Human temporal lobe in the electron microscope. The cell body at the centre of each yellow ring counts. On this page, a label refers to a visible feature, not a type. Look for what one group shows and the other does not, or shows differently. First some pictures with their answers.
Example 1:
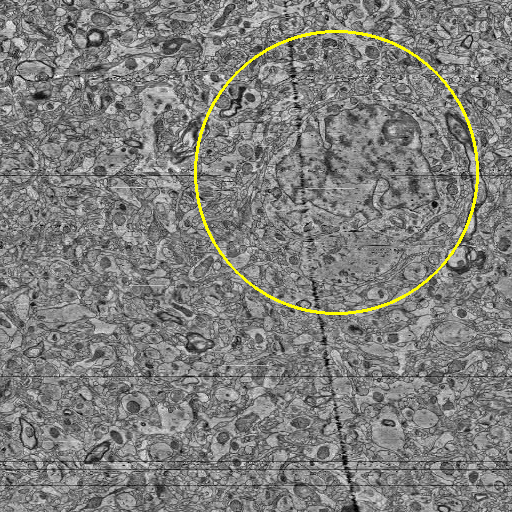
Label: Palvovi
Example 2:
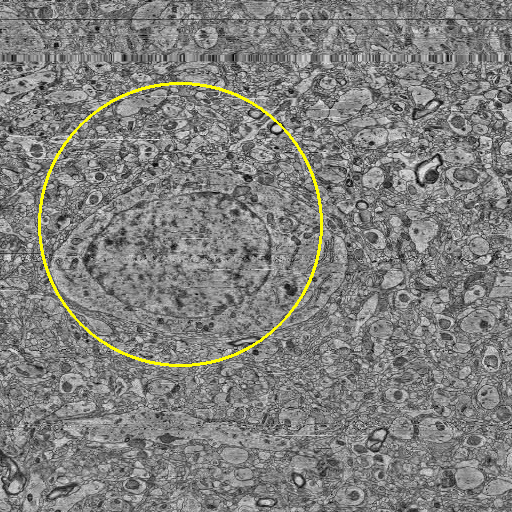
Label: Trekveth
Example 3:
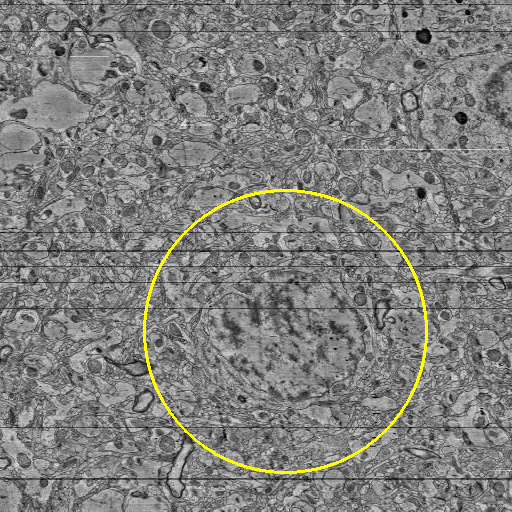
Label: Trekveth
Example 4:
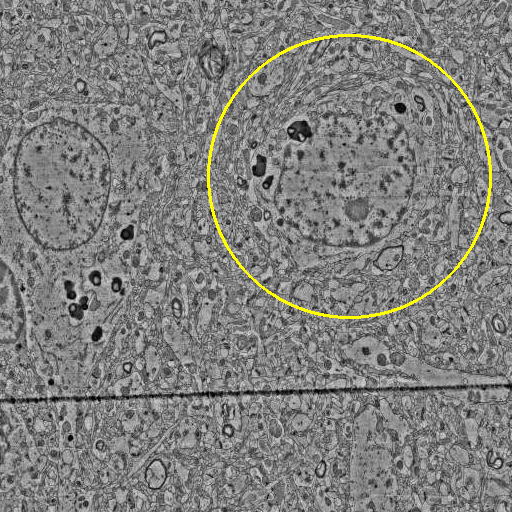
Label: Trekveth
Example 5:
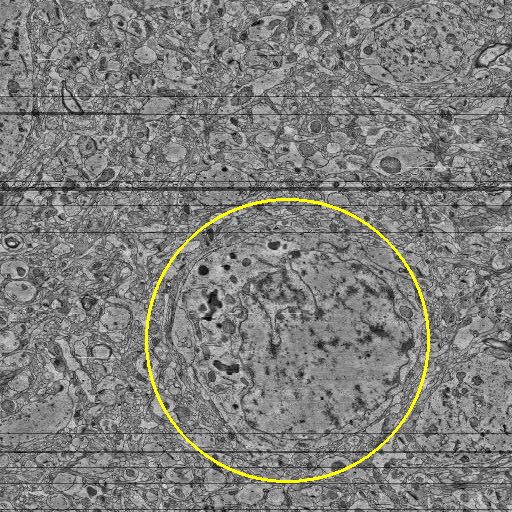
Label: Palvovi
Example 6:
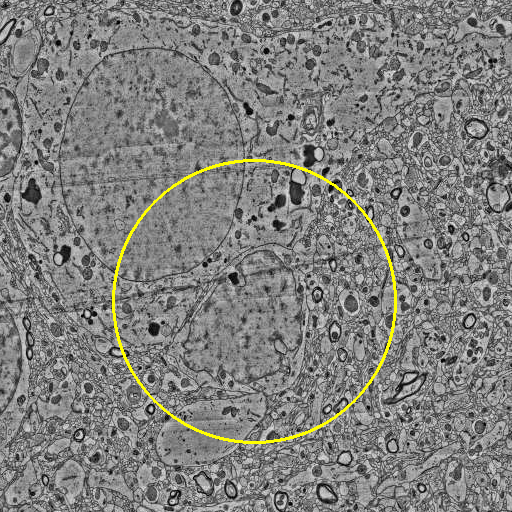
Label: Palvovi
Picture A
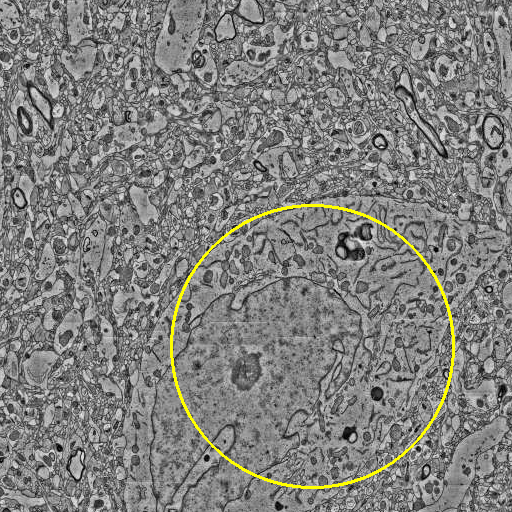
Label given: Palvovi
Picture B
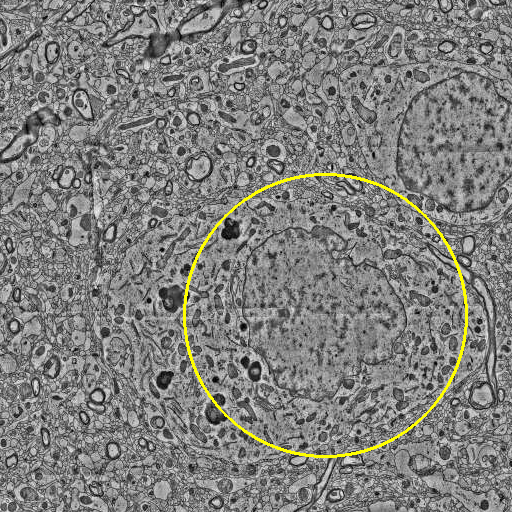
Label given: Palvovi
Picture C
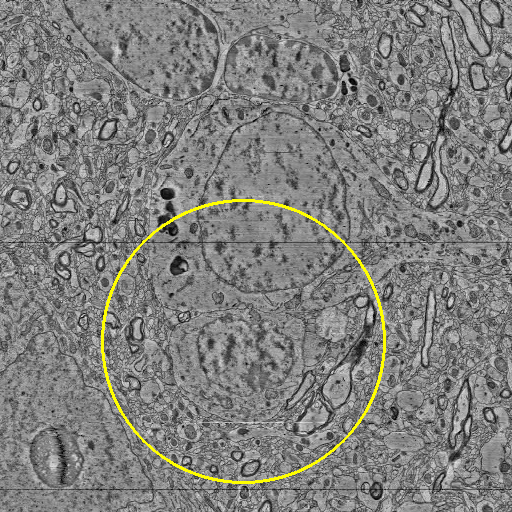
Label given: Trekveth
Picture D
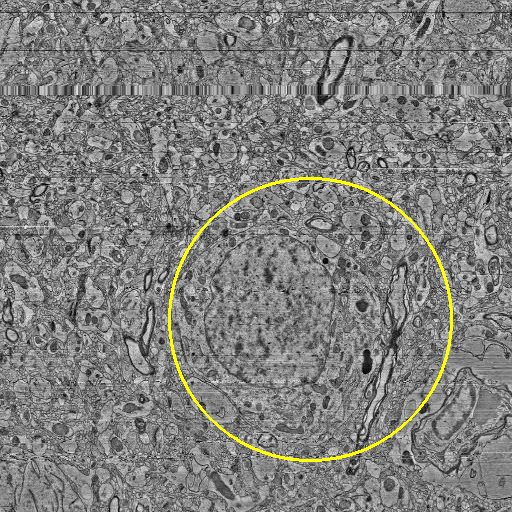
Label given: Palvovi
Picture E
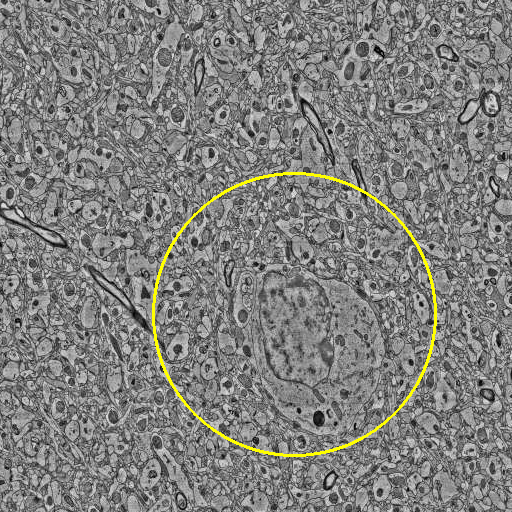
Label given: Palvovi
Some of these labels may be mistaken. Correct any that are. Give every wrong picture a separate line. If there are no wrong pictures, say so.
D is labelled Palvovi; correct label: Trekveth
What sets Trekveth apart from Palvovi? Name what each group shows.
Seen in Trekveth: smooth nuclear envelopes without deep folds; seen in Palvovi: deeply folded or indented nuclear envelopes.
